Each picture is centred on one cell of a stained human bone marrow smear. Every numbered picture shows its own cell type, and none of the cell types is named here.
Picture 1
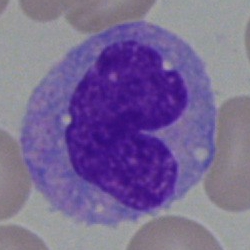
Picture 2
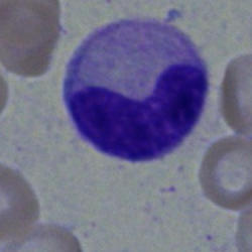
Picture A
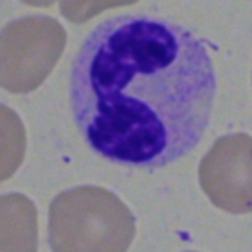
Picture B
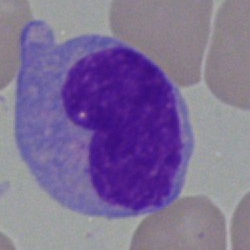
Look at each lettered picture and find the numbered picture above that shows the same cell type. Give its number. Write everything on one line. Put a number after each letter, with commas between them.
A 2, B 1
